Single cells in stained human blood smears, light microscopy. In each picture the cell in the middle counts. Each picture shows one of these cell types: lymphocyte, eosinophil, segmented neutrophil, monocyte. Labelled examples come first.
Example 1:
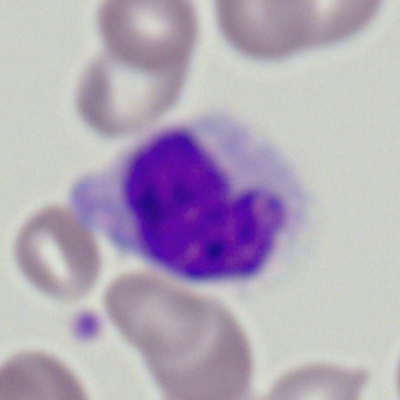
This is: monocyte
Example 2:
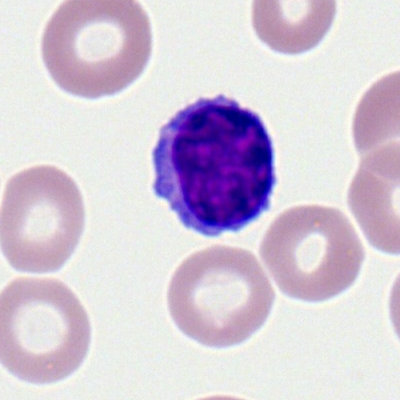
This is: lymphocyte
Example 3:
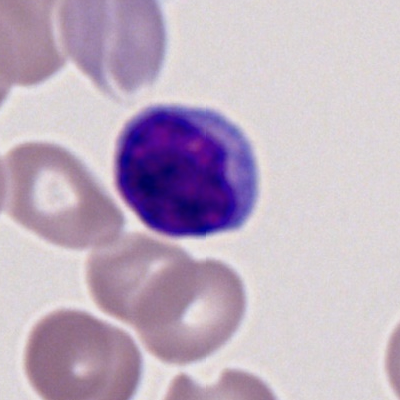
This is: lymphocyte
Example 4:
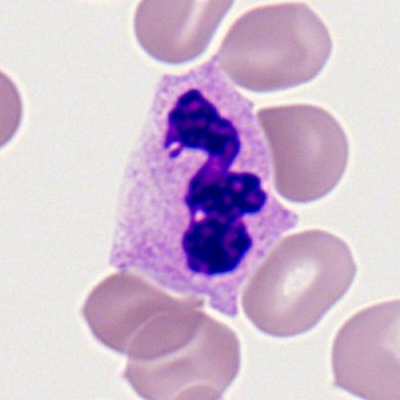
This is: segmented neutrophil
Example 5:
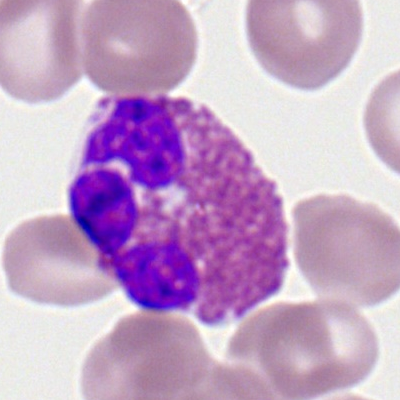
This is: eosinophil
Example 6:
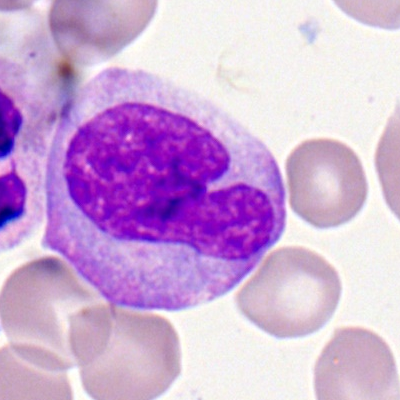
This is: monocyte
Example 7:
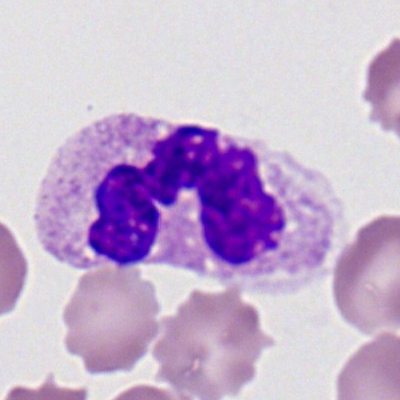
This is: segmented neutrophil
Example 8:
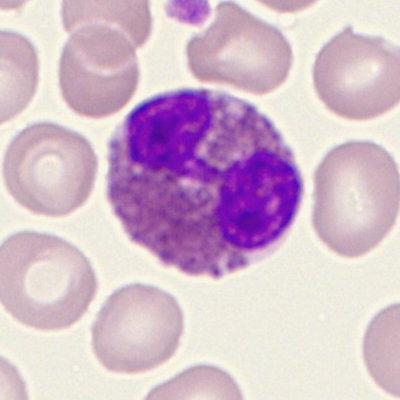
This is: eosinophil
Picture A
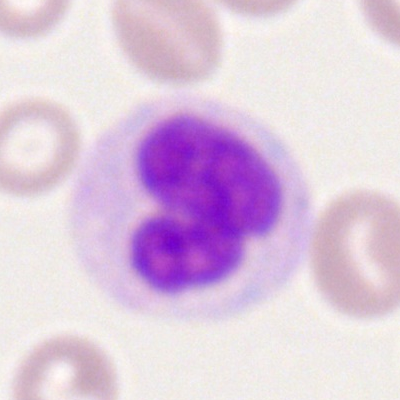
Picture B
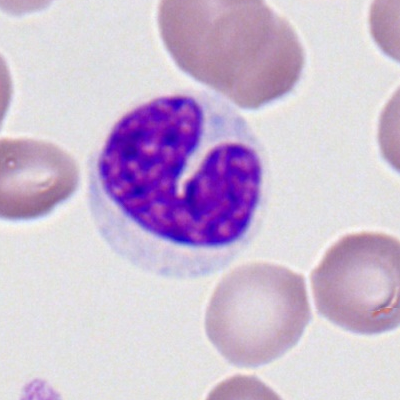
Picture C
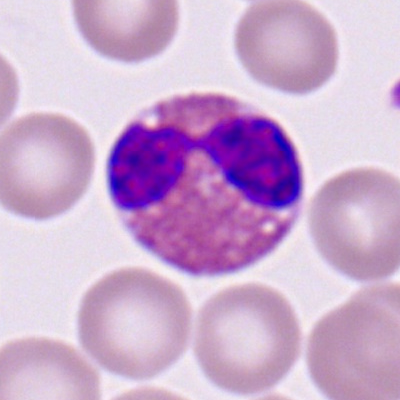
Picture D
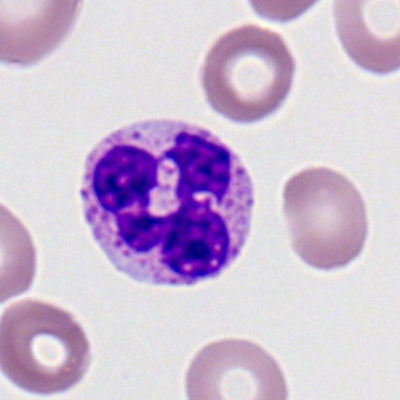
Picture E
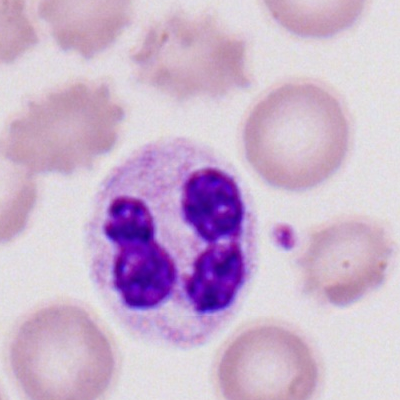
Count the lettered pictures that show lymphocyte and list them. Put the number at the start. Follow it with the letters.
0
